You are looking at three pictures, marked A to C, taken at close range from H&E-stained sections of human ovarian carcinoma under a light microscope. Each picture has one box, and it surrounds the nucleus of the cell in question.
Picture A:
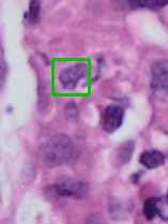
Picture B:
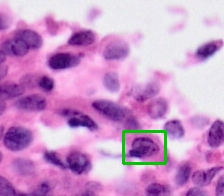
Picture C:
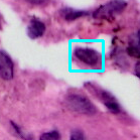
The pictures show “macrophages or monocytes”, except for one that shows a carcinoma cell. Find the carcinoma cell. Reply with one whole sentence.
Picture C is the one that shows the carcinoma cell.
